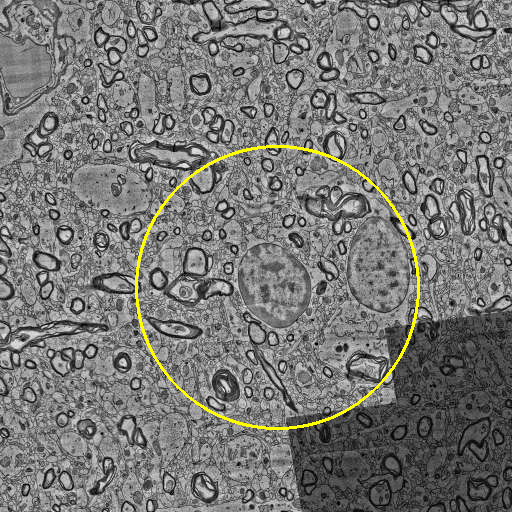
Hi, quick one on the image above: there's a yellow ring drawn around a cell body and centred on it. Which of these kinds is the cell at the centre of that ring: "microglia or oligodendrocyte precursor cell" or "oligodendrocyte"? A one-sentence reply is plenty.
The cell at the centre of the ring is a microglial cell or oligodendrocyte precursor cell.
